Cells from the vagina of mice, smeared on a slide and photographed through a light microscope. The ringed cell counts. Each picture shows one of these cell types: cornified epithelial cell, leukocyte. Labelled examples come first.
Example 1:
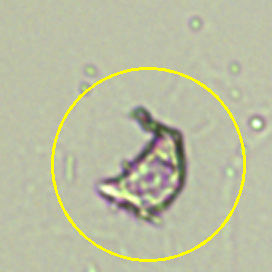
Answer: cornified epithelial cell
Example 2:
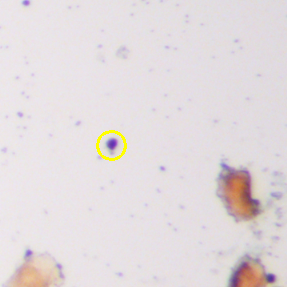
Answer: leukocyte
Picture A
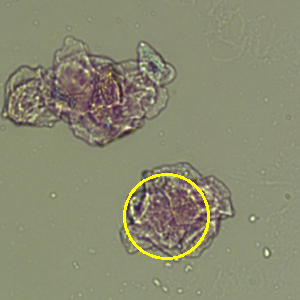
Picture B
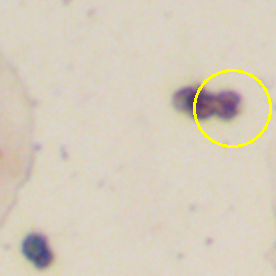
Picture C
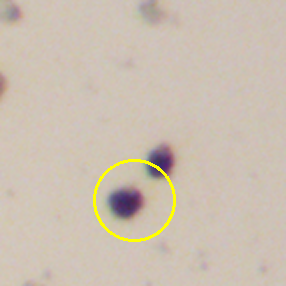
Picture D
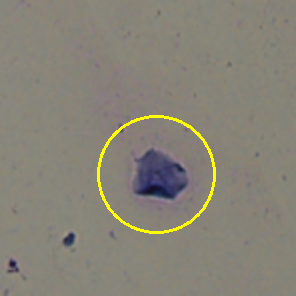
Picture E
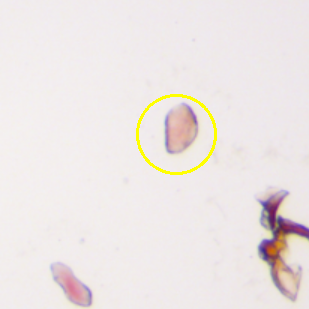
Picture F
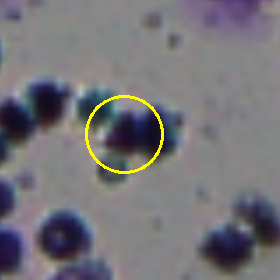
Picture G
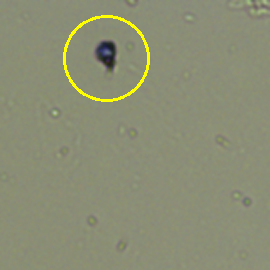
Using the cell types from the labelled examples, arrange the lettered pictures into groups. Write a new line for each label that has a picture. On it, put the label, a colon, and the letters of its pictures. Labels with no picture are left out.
cornified epithelial cell: A, D, E
leukocyte: B, C, F, G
